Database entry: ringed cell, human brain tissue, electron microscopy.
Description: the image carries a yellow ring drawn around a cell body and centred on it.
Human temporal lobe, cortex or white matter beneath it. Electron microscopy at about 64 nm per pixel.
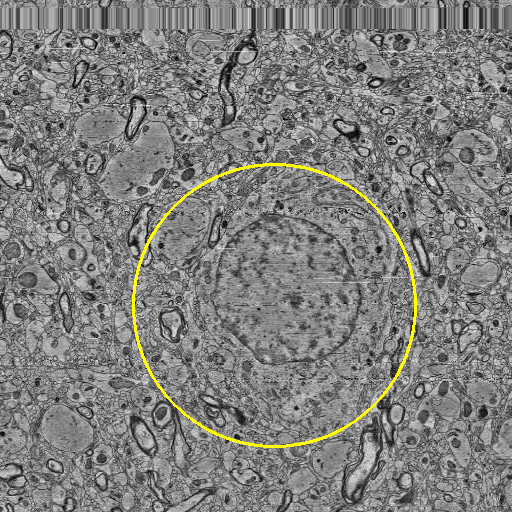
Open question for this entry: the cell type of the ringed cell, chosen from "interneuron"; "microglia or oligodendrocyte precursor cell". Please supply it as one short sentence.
The ringed cell is an interneuron.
